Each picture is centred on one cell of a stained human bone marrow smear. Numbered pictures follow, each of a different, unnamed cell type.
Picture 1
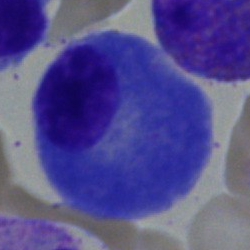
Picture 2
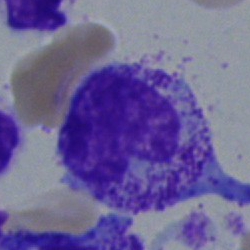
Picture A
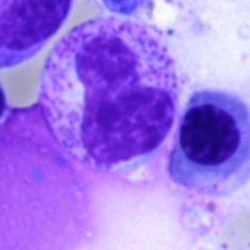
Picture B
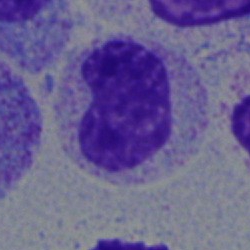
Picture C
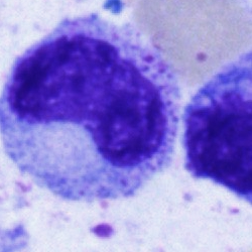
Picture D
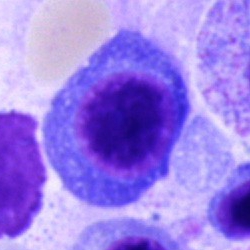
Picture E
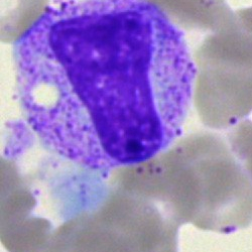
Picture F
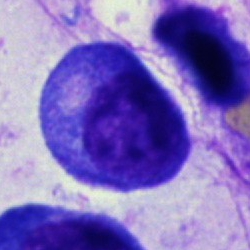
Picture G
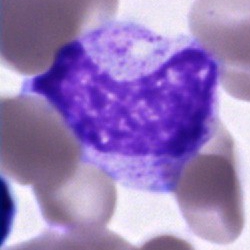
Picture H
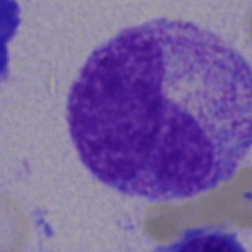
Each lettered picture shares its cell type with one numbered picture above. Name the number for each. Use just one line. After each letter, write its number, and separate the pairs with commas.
A 2, B 2, C 2, D 1, E 2, F 1, G 2, H 2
